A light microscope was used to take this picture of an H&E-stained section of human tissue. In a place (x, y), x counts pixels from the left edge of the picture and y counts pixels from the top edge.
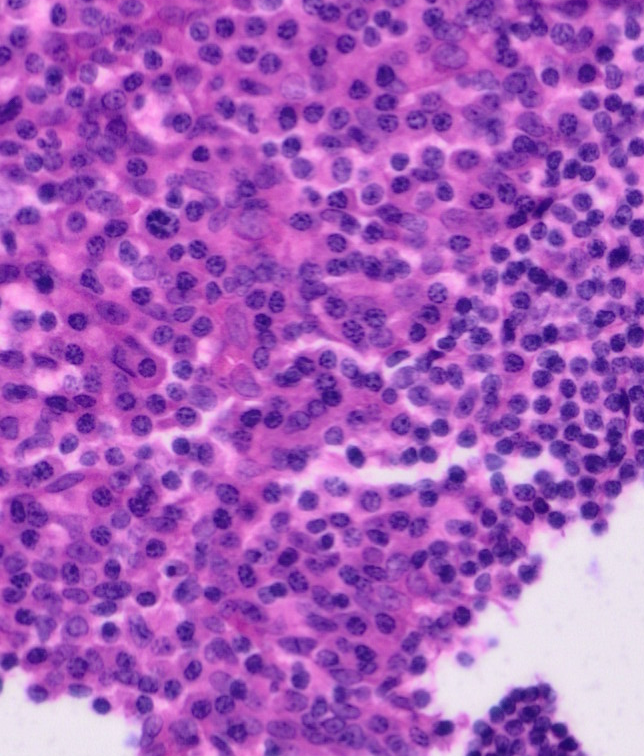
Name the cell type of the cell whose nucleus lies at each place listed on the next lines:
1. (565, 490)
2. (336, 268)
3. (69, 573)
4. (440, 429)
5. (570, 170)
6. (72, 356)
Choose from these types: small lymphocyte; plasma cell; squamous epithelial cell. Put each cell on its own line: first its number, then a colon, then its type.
1: small lymphocyte
2: plasma cell
3: plasma cell
4: small lymphocyte
5: small lymphocyte
6: plasma cell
